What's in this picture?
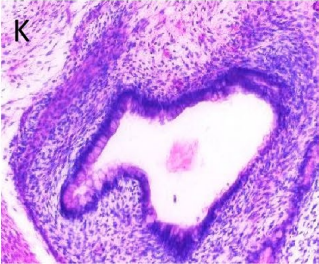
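This is an epithelial structure in which a single layer of cells lines a large, irregular central space. The lumen itself is mostly clear, with a little faint pink material in it. The arrangement of organised cells around a central space resembles a gland or duct.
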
